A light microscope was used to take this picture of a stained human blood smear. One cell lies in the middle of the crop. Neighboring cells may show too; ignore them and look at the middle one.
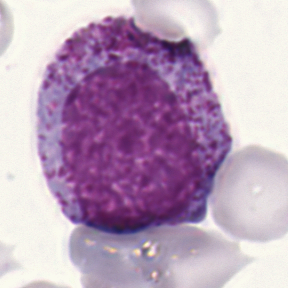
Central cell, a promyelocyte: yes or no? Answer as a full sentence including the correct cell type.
Yes, the cell under consideration, the one in the middle, is a promyelocyte.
